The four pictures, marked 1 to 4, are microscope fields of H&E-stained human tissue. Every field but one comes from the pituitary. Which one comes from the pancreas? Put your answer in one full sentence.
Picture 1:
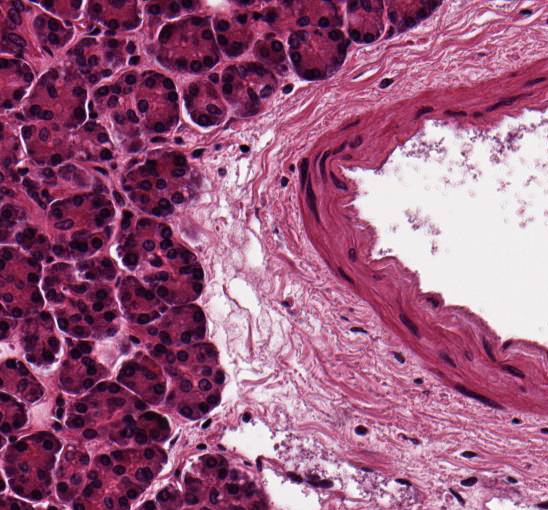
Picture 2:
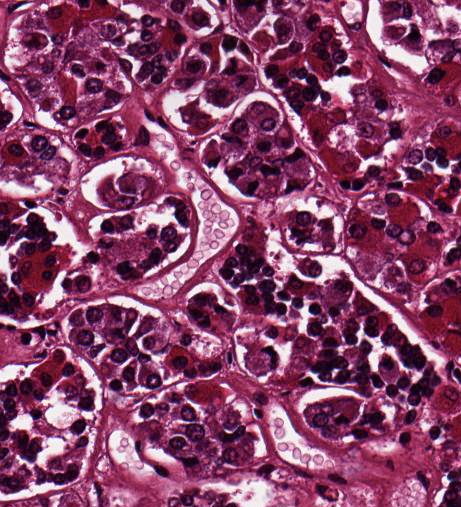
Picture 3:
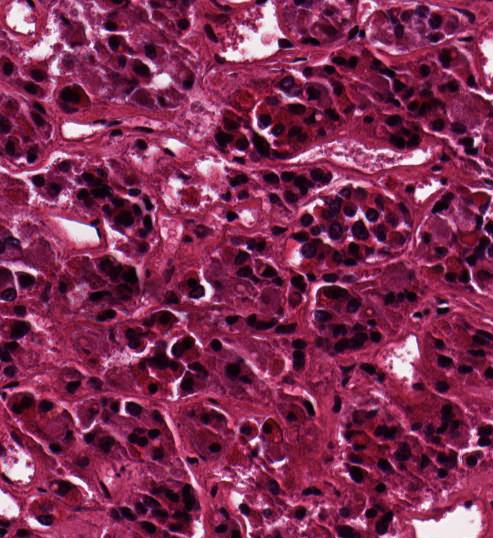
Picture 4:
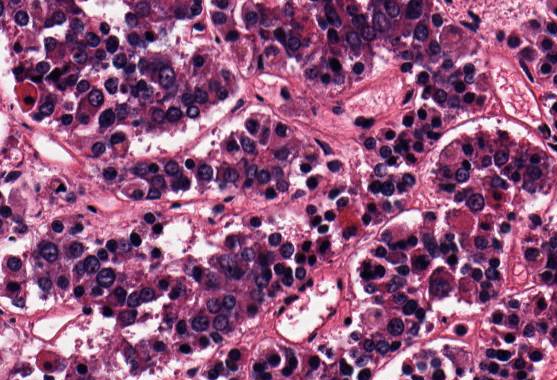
Picture 1 comes from the pancreas.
